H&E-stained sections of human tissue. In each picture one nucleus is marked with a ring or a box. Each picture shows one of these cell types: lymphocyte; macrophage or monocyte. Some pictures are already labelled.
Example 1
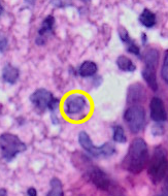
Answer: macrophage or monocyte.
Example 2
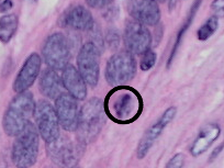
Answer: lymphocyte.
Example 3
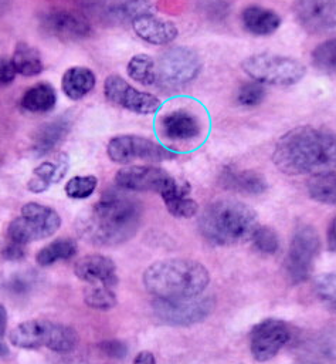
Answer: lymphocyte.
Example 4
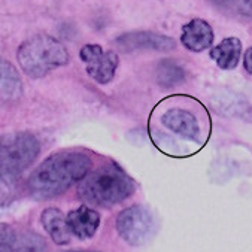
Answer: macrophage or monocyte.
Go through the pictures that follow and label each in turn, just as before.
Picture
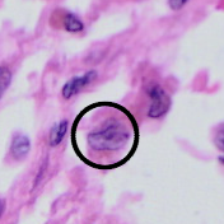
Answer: macrophage or monocyte.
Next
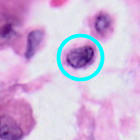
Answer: macrophage or monocyte.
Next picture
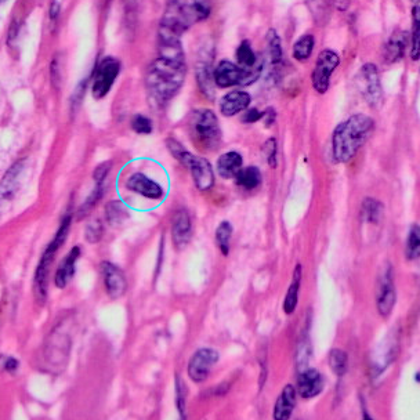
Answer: lymphocyte.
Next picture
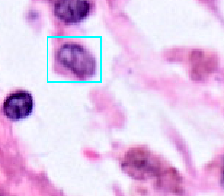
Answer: macrophage or monocyte.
